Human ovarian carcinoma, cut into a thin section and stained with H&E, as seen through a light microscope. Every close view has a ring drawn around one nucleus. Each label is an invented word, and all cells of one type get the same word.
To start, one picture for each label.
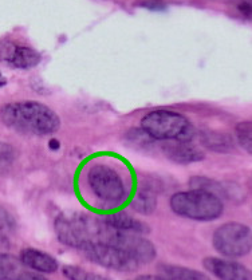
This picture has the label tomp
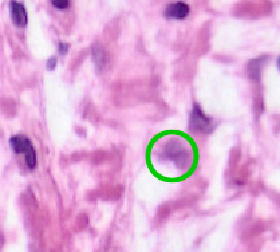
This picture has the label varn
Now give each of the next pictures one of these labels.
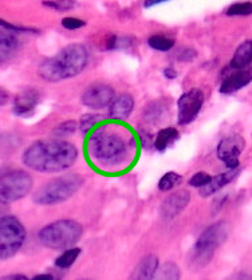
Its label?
tomp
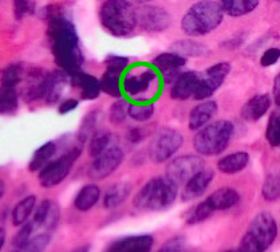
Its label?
tomp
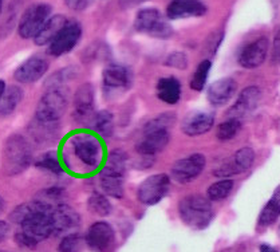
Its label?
tomp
